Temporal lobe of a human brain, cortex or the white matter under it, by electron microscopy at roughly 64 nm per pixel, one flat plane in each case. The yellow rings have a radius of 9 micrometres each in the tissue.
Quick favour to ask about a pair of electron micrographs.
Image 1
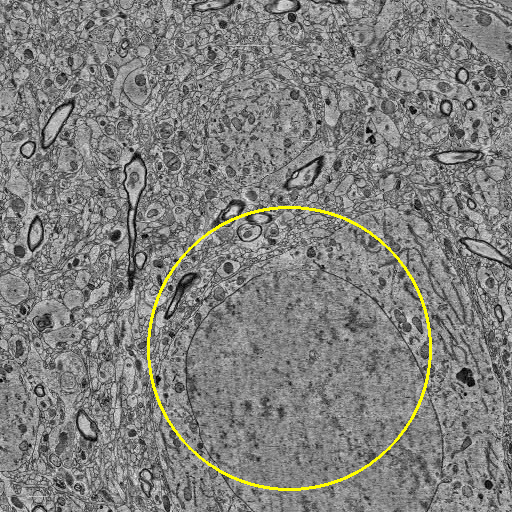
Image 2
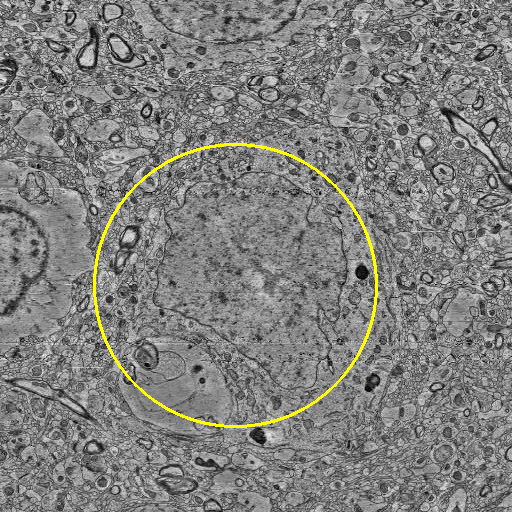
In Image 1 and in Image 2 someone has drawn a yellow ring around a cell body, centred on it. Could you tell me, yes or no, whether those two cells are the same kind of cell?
yes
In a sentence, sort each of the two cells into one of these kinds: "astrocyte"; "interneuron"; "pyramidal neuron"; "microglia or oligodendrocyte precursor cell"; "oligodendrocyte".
In the first picture and in the second, the ring is centred on a pyramidal neuron.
